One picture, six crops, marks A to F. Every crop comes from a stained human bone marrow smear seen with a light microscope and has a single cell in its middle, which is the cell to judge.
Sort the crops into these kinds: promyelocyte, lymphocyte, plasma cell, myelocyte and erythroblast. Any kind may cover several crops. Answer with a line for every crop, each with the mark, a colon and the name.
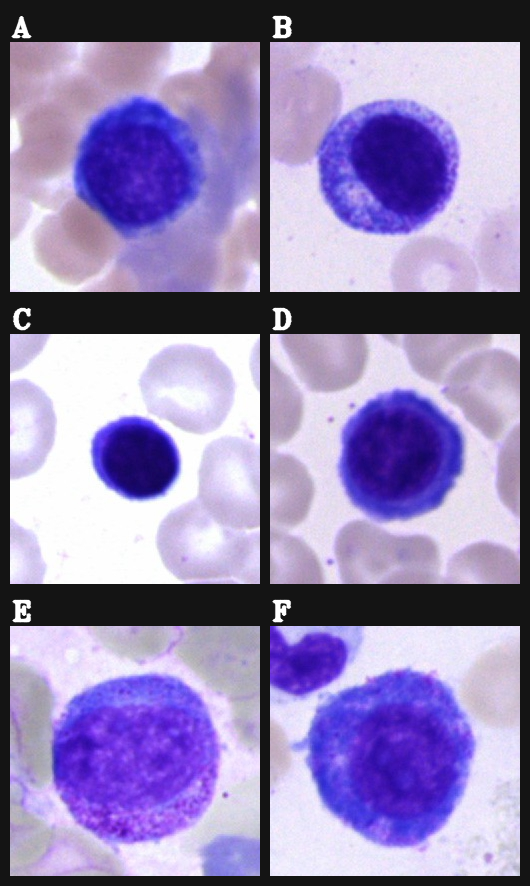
A: erythroblast
B: myelocyte
C: lymphocyte
D: plasma cell
E: myelocyte
F: promyelocyte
